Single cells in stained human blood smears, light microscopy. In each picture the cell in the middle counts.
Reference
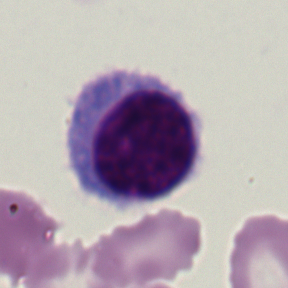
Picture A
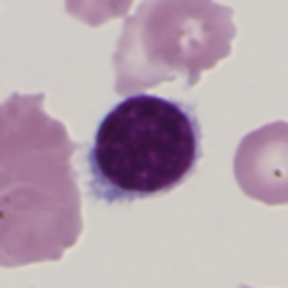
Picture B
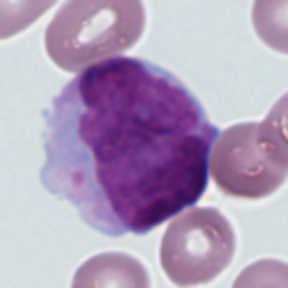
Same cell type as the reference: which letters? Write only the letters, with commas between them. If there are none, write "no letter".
A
